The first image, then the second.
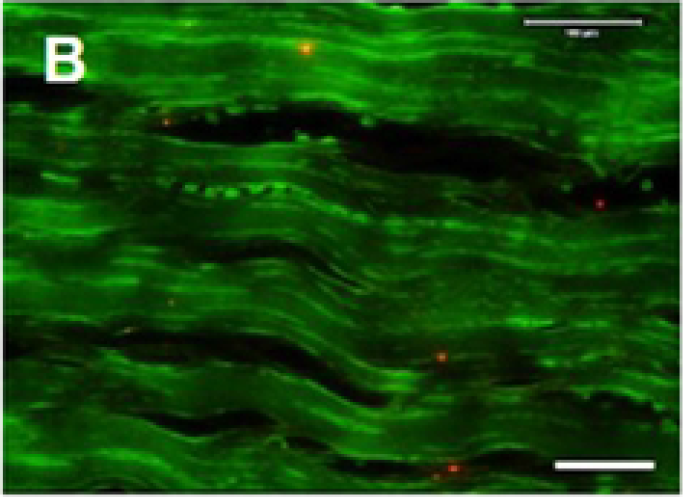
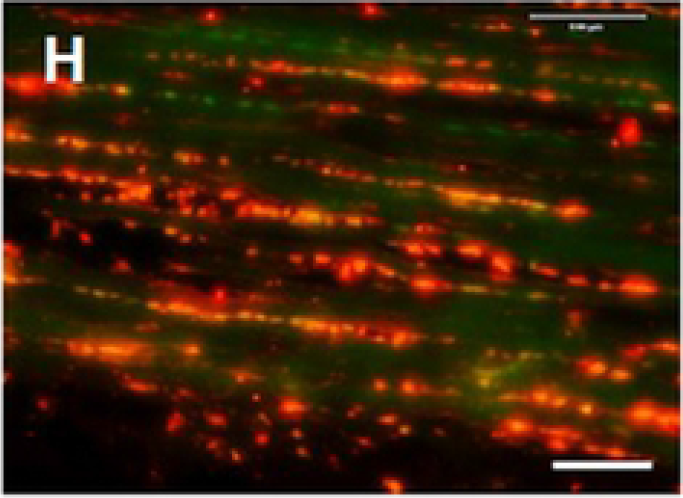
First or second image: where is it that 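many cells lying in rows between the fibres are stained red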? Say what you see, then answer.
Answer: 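Second image: numerous bright red-orange dots lie in long rows along the fibres. First image: green fibres with almost no red spots. That points to this answer: the second image.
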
